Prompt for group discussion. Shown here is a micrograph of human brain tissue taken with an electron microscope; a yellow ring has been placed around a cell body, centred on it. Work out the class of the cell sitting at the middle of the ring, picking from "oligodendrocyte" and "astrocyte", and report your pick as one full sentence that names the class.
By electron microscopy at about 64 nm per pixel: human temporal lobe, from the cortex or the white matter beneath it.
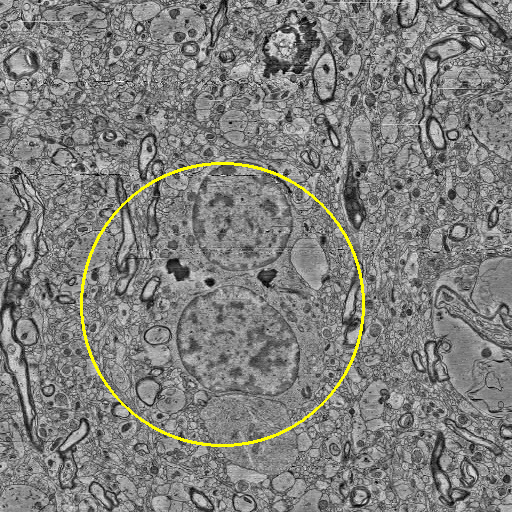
The cell sitting at the middle of the yellow ring is an oligodendrocyte.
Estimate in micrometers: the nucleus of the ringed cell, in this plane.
In this plane the nucleus spans approximately 9 by 7 micrometers.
